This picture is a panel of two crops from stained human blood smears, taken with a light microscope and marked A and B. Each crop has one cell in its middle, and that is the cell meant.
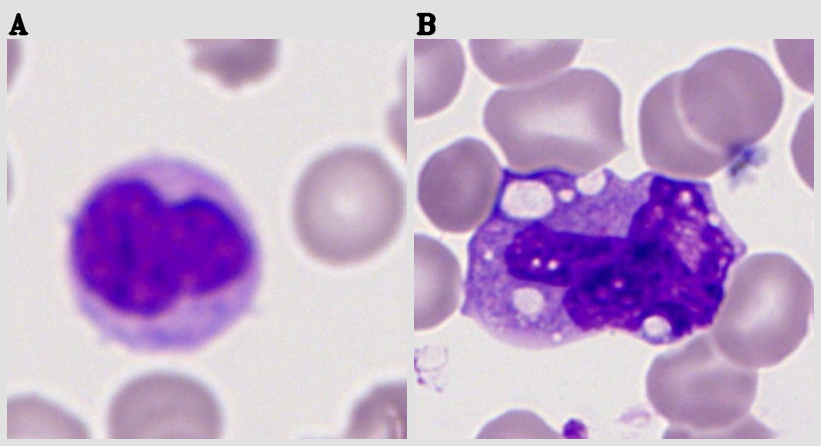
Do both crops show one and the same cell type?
yes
